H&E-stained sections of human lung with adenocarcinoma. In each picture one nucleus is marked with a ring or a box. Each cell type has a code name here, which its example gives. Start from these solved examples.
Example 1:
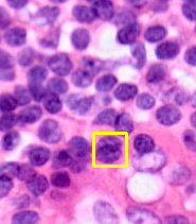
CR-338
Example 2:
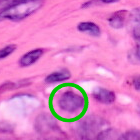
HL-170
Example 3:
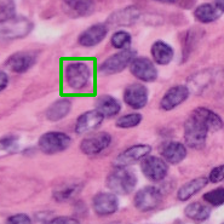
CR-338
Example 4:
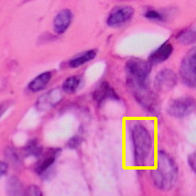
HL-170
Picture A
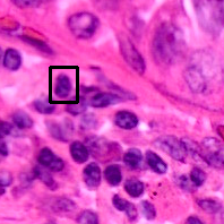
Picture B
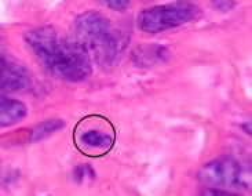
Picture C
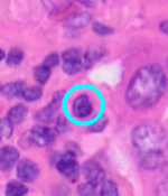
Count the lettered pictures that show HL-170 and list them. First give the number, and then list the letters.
0, none of them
